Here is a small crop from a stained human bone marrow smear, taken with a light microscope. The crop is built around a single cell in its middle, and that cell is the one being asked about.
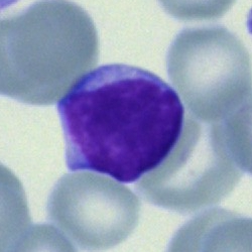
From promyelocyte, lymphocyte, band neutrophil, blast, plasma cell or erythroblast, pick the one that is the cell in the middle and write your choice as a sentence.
In the middle of this smear crop, the cell is a lymphocyte.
